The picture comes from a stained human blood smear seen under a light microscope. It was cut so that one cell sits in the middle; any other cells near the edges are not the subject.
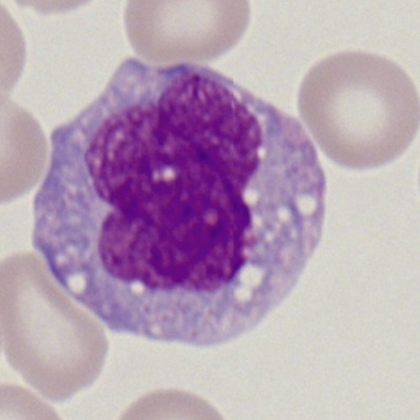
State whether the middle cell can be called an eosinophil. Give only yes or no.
no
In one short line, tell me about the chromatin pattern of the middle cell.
Check the chromatin: it is fine and not coarsely clumped.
